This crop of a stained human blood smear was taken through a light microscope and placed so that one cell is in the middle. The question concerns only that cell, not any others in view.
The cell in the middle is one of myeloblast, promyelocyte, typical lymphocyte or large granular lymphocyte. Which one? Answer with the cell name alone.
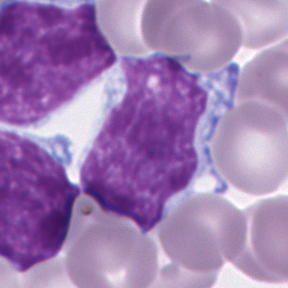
typical lymphocyte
